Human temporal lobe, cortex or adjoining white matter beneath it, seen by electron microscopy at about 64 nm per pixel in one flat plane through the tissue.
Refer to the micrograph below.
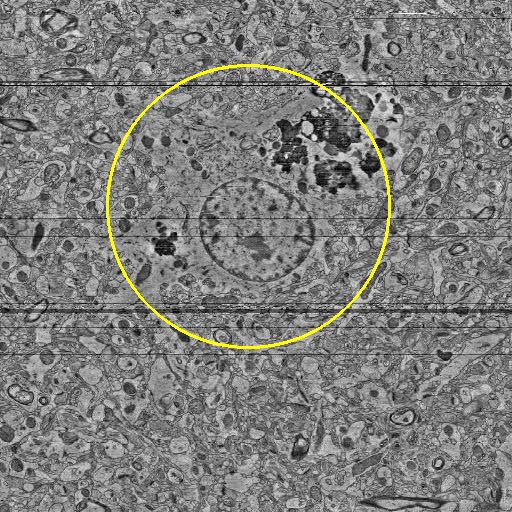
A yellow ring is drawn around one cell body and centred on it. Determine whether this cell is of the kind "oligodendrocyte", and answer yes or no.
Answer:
no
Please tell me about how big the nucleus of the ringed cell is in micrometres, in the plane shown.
Approximately 7 micrometres across, in this plane.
